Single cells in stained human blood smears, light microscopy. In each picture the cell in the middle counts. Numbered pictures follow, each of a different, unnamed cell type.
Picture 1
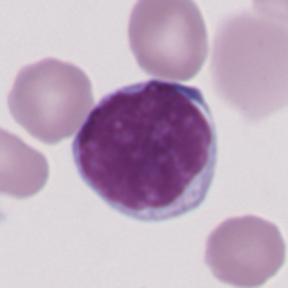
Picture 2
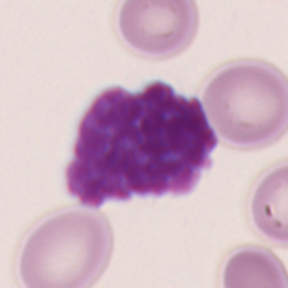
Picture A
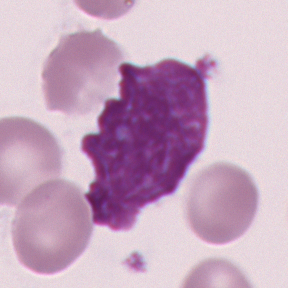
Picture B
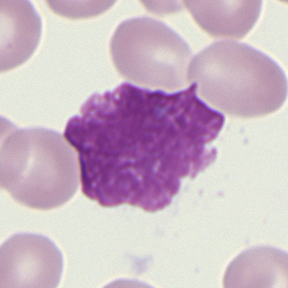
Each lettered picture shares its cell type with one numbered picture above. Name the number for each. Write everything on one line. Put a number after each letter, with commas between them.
A 2, B 2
